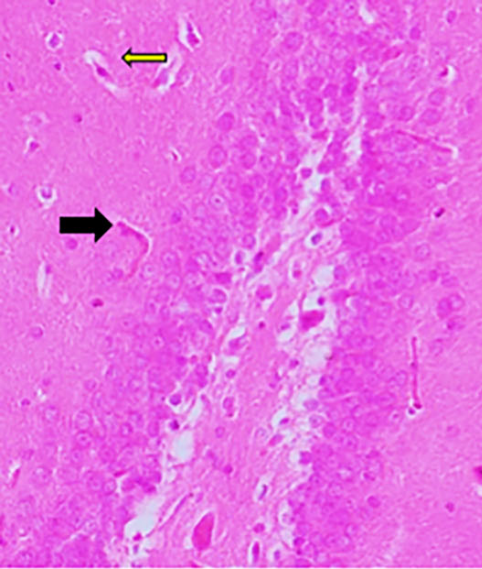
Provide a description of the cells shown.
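Brain tissue runs through the field as vertical bands of densely packed neurons with round, pale nuclei, set in evenly pink neuropil. Thin, elongated vessels with small, narrow lumens cross the tissue.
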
